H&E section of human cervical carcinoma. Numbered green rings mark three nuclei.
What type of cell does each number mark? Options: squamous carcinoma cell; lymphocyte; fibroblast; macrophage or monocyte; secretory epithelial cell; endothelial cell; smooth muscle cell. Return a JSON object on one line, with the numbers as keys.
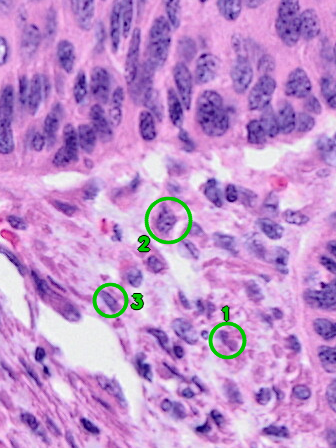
{"1": "fibroblast", "2": "macrophage or monocyte", "3": "fibroblast"}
